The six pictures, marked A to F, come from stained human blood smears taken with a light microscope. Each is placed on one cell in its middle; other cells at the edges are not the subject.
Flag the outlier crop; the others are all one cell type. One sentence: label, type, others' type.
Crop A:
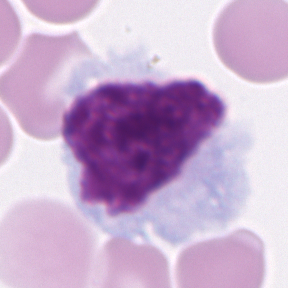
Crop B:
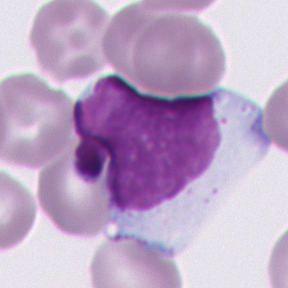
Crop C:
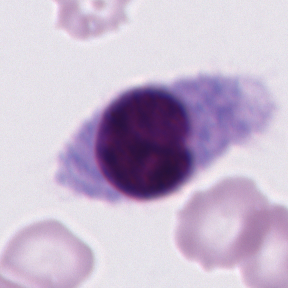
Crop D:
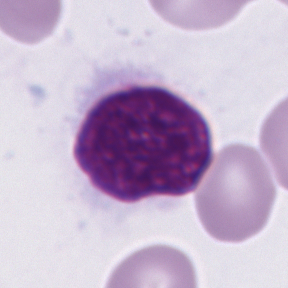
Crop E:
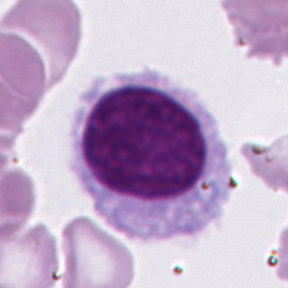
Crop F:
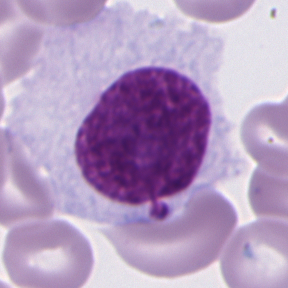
The crop that differs is crop B, showing a large granular lymphocyte; the others show hairy cells.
